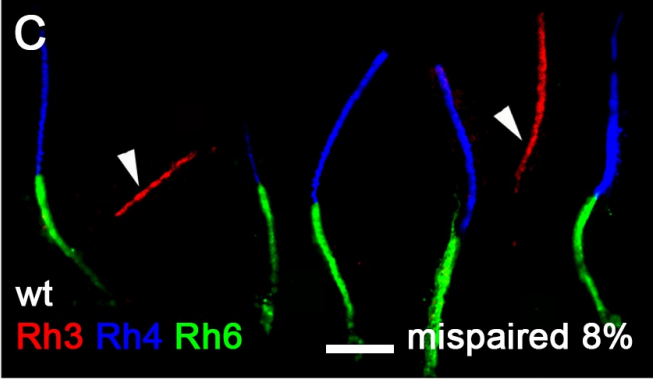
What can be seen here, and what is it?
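These are isolated ommatidia, each showing the rhabdomeres of the inner photoreceptors as long, slender coloured threads. Two arrowheads point to red segments that lie apart, without a matching segment beside them. The background is black, with no other tissue visible.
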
